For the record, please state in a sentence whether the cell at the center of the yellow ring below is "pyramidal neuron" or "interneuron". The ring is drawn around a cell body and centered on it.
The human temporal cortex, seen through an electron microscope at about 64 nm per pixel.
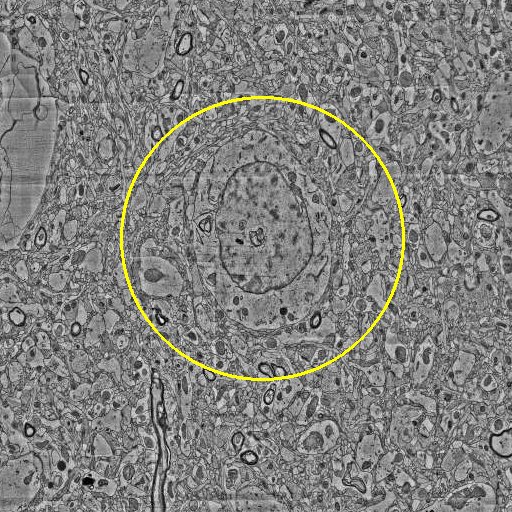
The cell at the ring's center is a pyramidal neuron.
